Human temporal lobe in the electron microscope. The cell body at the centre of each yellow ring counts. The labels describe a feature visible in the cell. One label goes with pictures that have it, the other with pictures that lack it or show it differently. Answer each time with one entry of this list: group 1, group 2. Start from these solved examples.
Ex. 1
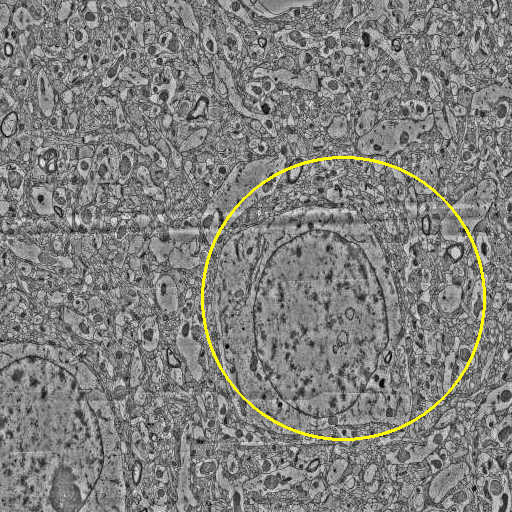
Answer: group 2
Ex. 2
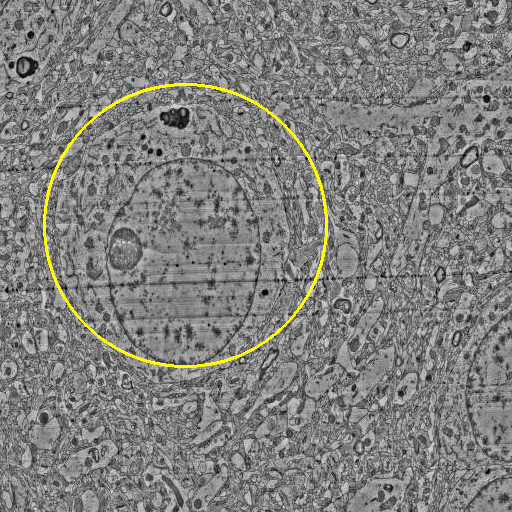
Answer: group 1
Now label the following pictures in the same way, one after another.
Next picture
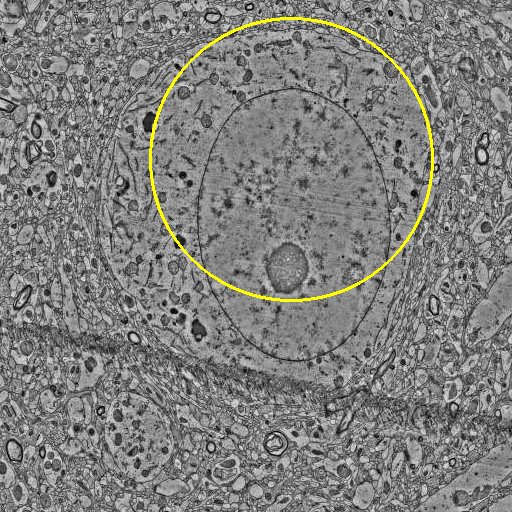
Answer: group 1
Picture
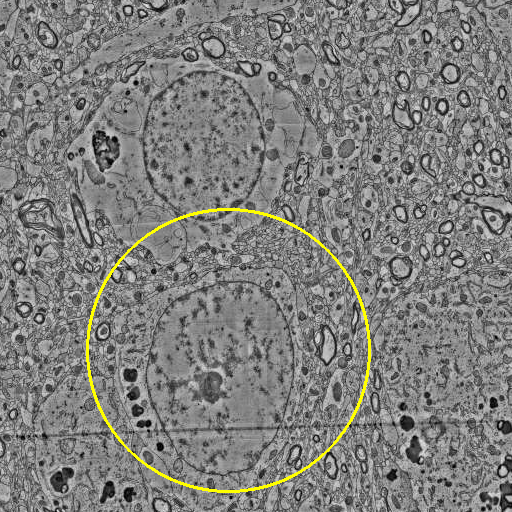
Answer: group 1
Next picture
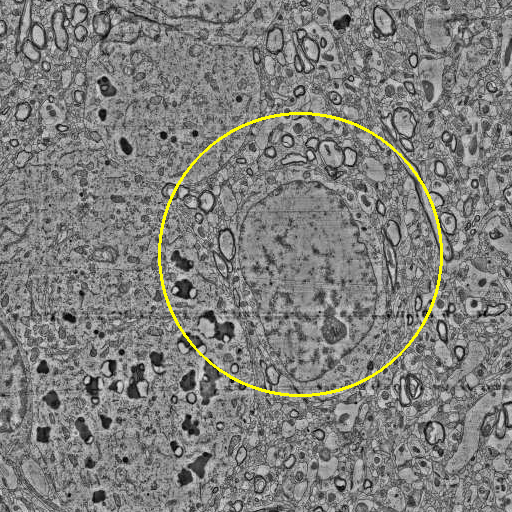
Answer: group 1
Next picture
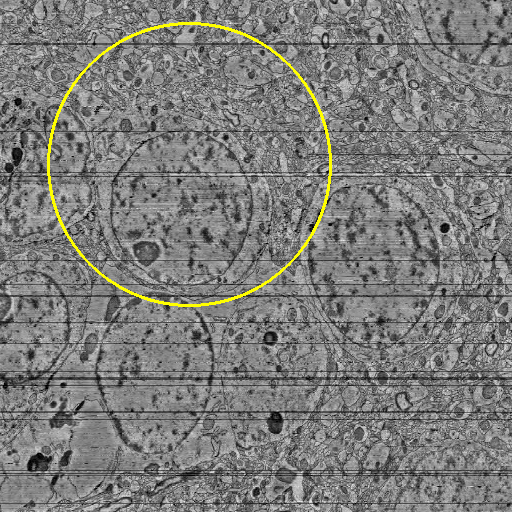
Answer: group 1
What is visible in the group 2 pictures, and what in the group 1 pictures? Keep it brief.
Seen in group 2: no nucleolus seen; seen in group 1: nucleolus seen.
